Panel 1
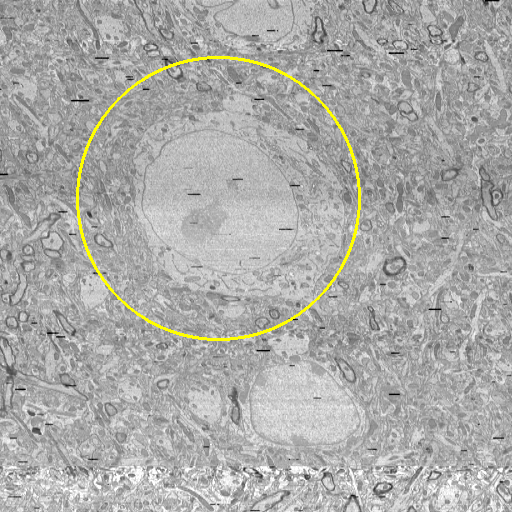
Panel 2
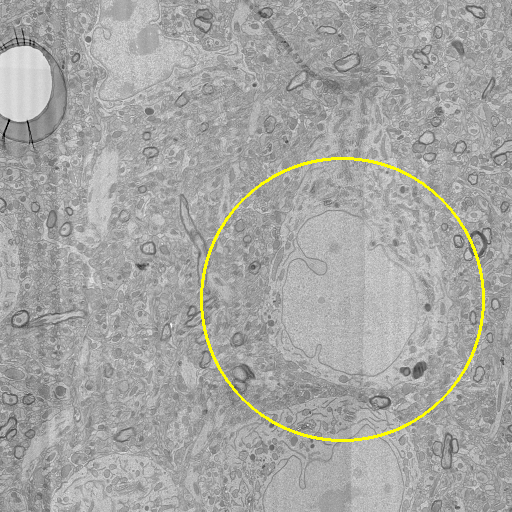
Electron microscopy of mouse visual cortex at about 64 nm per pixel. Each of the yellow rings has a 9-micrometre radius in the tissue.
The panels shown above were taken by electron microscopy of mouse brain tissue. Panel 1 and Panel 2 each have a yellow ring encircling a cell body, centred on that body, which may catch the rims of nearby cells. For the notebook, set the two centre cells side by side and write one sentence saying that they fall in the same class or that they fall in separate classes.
The centred cells of Panel 1 and Panel 2 fall in the same class.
